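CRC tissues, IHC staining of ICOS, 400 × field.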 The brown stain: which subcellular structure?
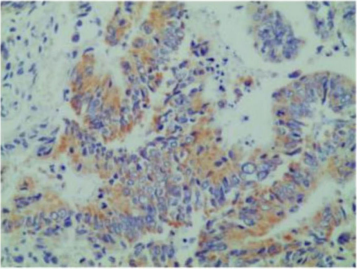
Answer: Cytoplasm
